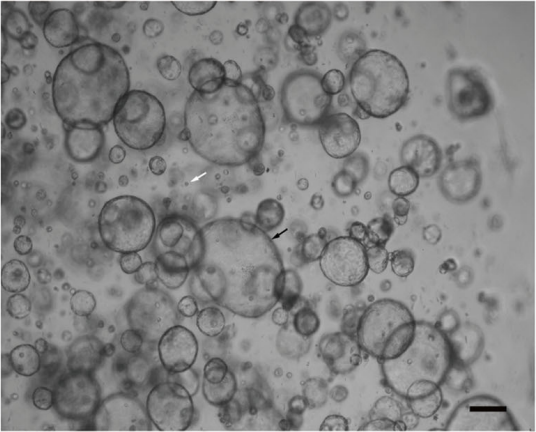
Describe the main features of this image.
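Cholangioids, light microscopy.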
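Most are round, hollow cysts of very different sizes, each bounded by a thin wall of cells around a clear lumen, and some touch or overlap. Between the cysts lie tiny single round cells that have not yet formed a hollow sphere.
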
